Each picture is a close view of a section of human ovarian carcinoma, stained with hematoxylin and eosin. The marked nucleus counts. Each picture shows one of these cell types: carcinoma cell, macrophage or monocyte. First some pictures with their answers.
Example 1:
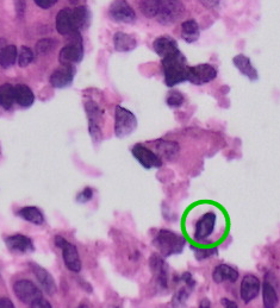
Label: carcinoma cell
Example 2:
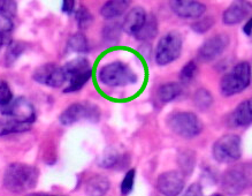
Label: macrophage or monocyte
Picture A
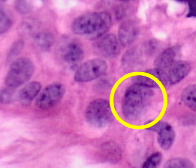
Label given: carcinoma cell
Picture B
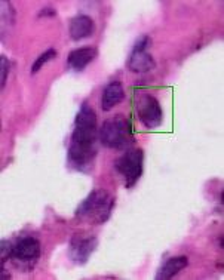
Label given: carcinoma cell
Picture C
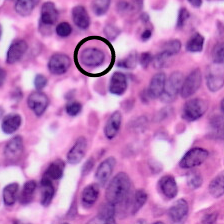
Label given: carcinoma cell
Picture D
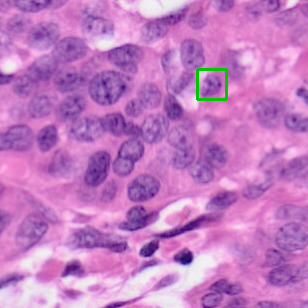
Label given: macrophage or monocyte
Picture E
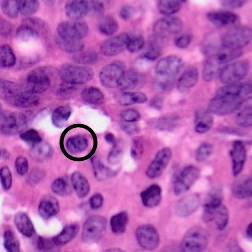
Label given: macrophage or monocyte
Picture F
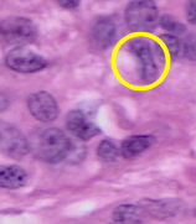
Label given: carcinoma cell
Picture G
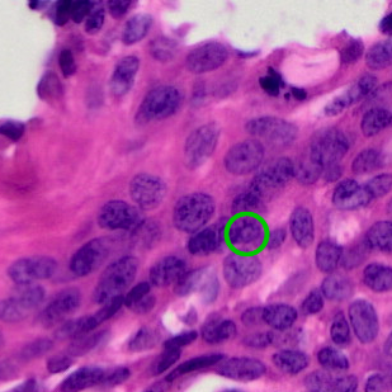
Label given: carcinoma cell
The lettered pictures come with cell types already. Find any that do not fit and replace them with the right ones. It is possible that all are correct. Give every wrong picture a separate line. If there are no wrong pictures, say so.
C: change carcinoma cell to macrophage or monocyte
